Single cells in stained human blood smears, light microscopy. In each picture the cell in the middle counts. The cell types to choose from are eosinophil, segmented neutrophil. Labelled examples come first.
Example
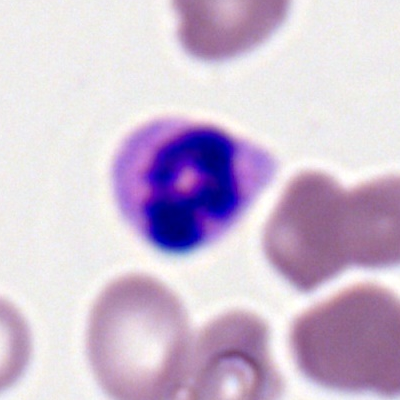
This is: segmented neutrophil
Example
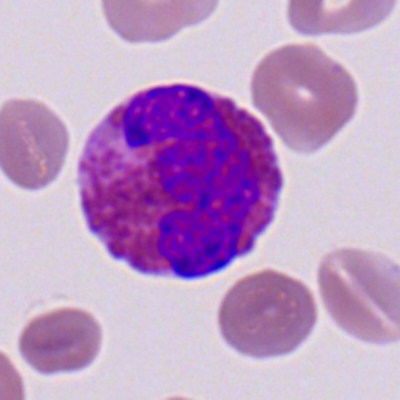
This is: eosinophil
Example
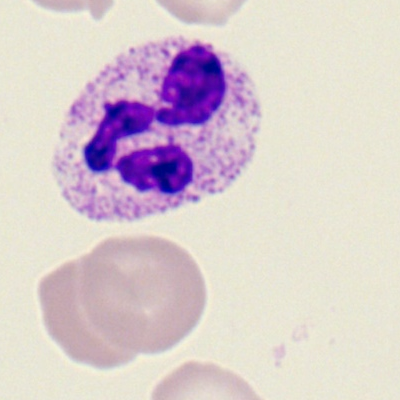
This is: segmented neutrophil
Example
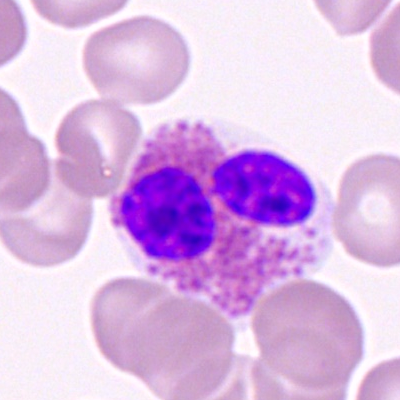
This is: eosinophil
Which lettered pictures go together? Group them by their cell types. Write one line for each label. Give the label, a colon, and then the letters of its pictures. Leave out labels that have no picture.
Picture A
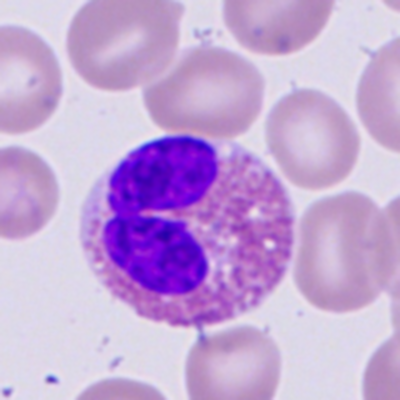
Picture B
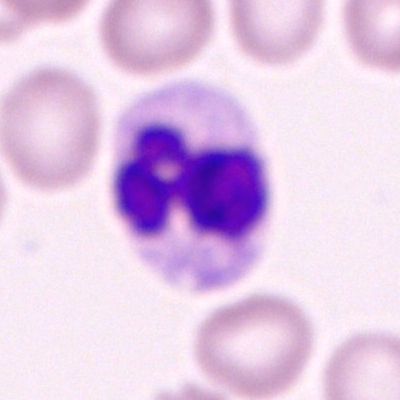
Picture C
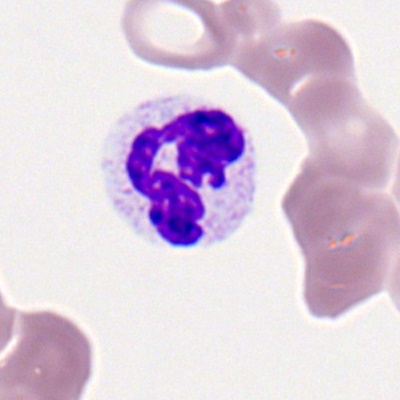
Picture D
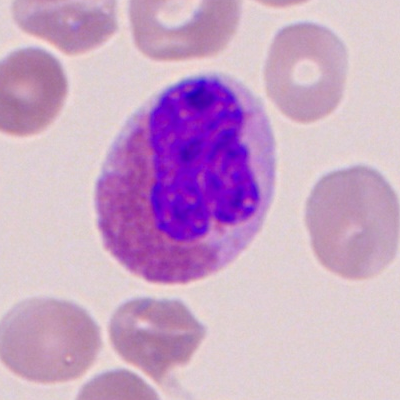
eosinophil: A, D
segmented neutrophil: B, C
